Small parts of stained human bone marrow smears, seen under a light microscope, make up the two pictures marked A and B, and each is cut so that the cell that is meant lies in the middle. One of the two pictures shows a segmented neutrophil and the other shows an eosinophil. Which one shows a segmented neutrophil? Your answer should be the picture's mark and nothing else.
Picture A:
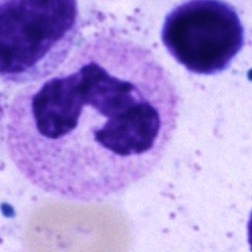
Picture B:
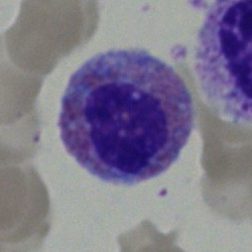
A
